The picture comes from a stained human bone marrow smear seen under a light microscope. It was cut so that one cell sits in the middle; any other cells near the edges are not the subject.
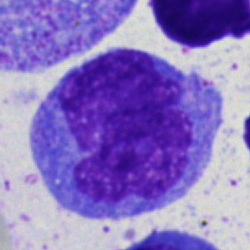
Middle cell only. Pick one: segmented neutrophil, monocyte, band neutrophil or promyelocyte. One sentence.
Regarding the central cell, it is a monocyte.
